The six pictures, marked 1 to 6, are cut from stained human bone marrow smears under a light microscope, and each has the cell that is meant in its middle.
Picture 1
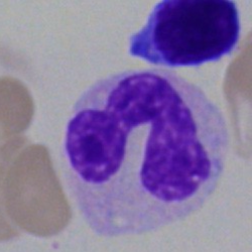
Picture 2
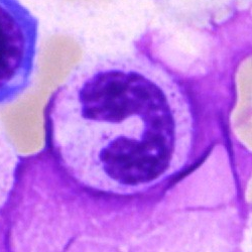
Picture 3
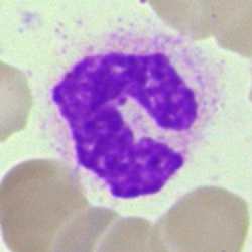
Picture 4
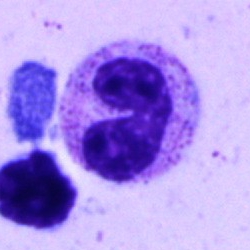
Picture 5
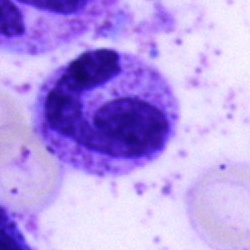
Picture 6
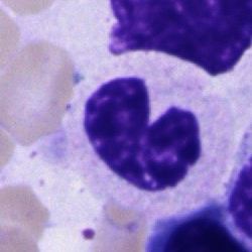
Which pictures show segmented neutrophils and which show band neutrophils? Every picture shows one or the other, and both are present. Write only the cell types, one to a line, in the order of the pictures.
band neutrophil
band neutrophil
band neutrophil
segmented neutrophil
segmented neutrophil
band neutrophil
